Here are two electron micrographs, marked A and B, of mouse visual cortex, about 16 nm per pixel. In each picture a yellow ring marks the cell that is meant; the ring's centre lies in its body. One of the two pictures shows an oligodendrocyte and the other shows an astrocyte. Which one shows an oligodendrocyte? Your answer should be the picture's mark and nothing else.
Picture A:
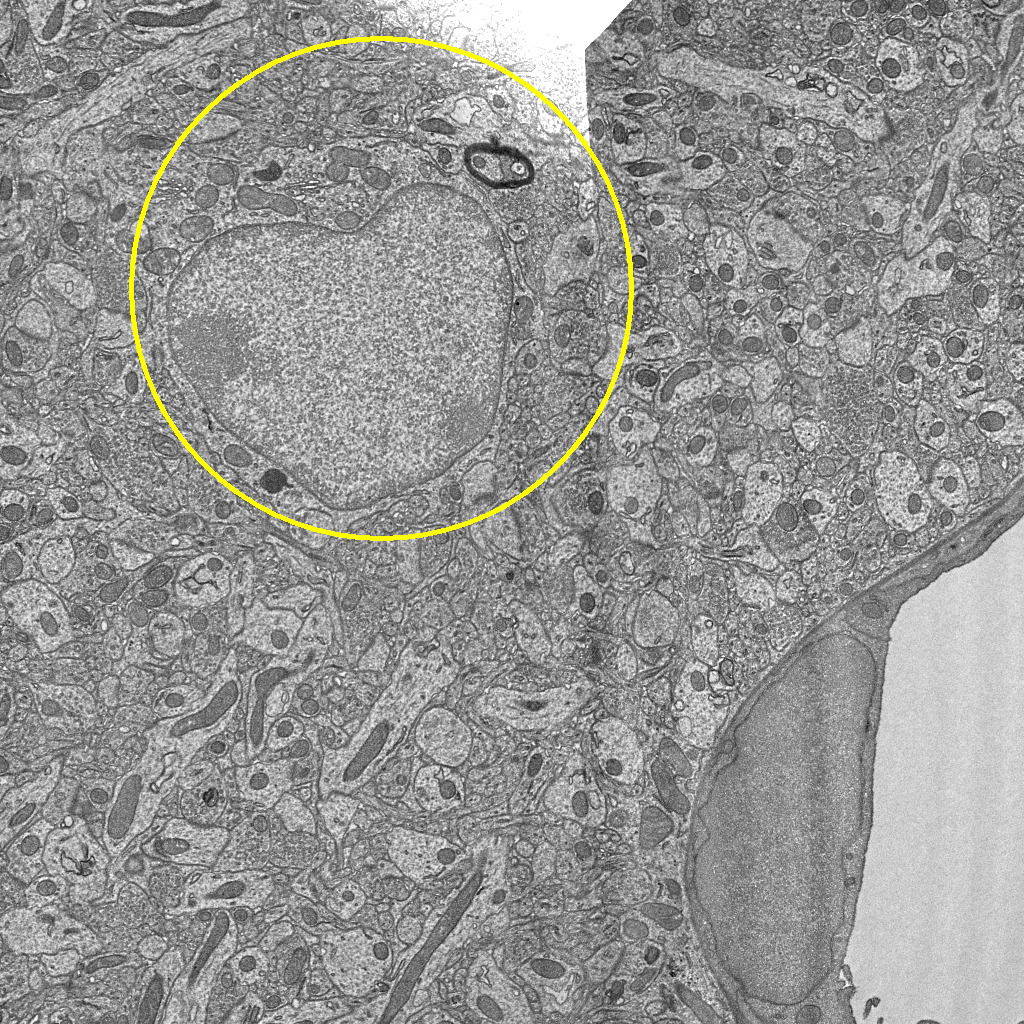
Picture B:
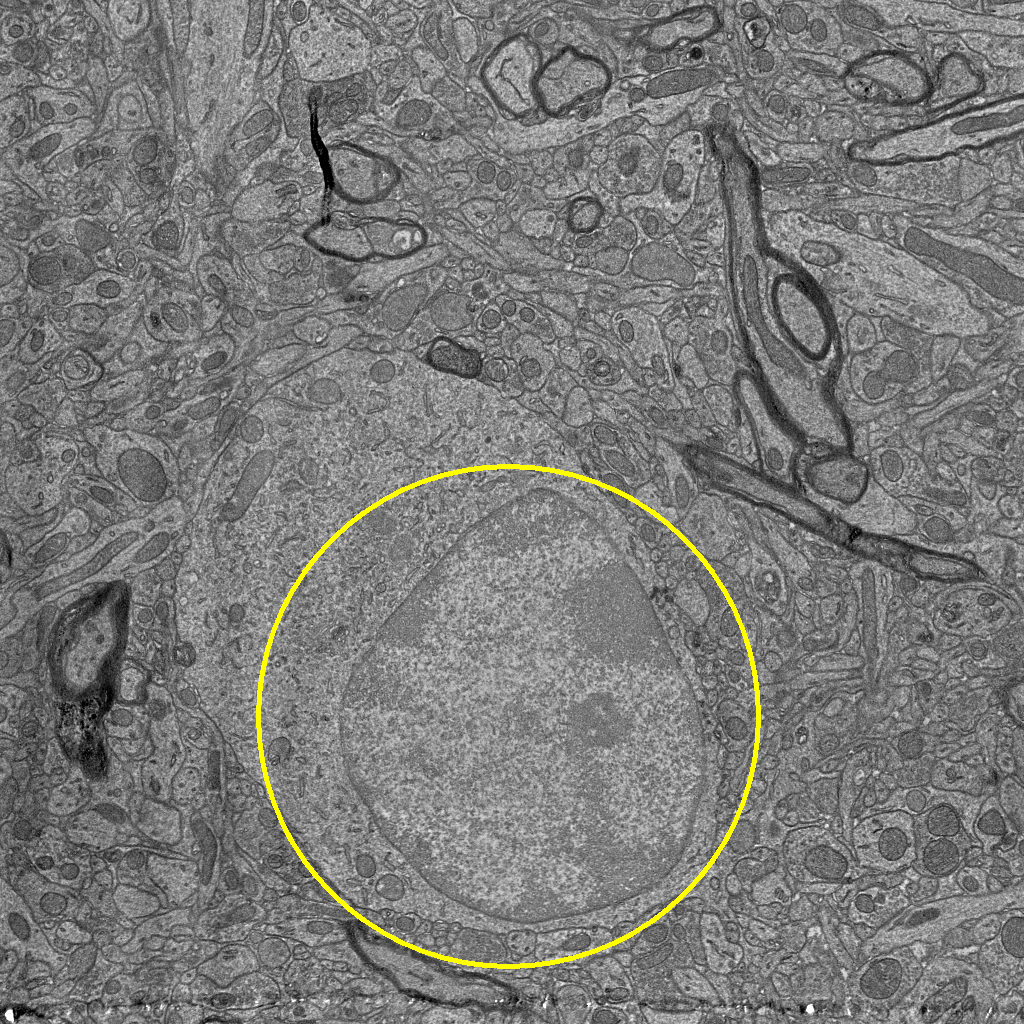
B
